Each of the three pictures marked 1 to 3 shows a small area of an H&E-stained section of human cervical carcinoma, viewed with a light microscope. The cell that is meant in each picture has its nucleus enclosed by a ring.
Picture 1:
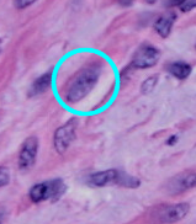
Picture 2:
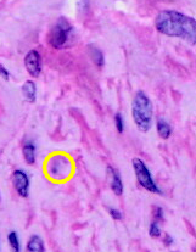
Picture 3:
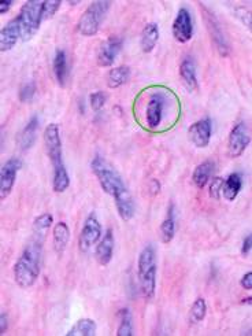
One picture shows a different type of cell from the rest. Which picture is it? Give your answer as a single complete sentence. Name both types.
Picture 1 is the odd one out: it shows an endothelial cell, while the others show smooth muscle cells.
